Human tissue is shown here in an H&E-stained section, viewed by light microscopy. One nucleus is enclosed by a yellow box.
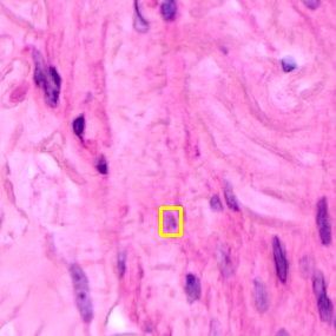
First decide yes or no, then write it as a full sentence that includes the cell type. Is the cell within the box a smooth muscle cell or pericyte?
Yes, to put it simply, the cell within the box is a smooth muscle cell or pericyte.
